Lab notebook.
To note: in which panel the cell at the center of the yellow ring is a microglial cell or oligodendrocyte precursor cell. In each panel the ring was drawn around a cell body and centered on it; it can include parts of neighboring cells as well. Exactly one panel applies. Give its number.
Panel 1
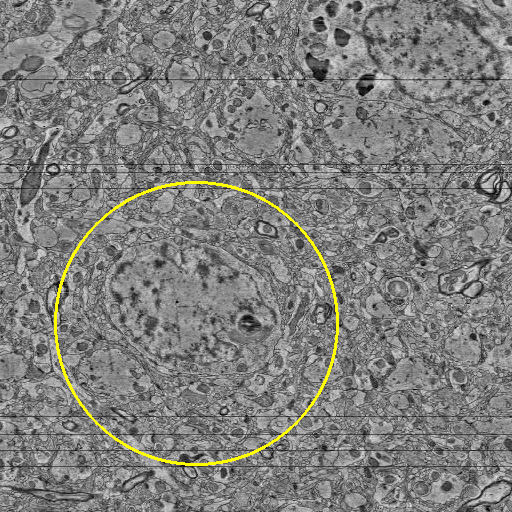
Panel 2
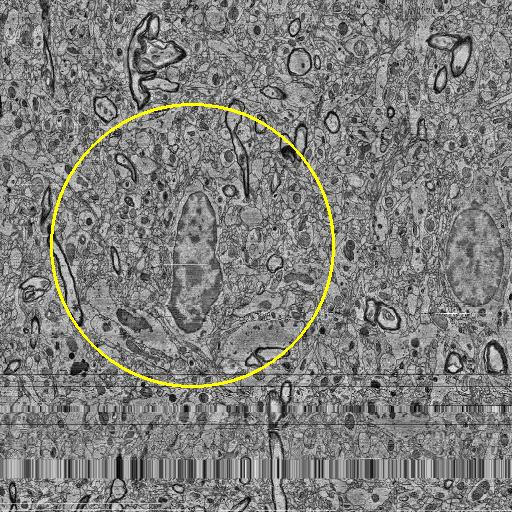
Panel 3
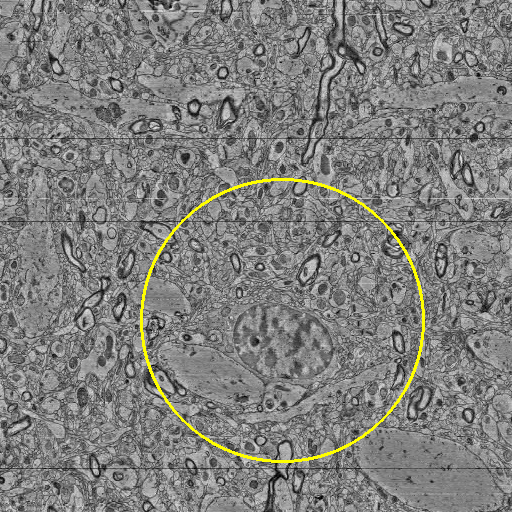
2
